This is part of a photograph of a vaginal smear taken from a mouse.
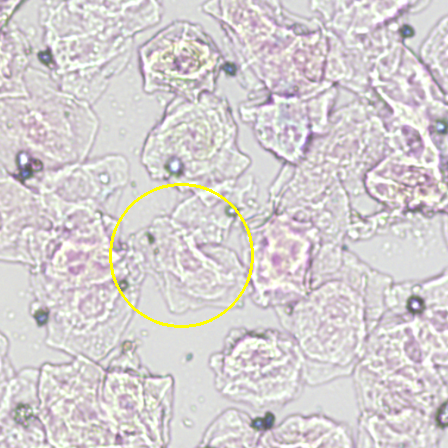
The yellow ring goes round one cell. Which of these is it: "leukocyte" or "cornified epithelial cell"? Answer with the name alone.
cornified epithelial cell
